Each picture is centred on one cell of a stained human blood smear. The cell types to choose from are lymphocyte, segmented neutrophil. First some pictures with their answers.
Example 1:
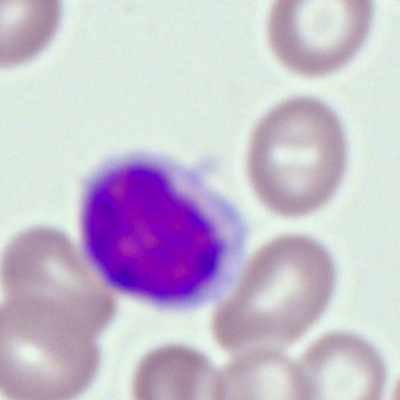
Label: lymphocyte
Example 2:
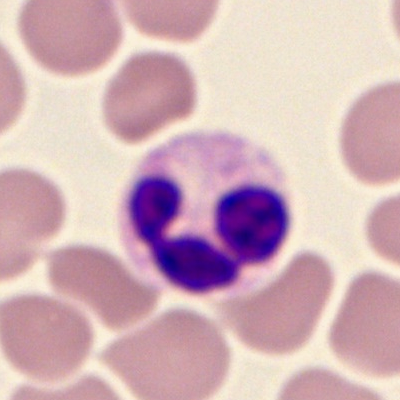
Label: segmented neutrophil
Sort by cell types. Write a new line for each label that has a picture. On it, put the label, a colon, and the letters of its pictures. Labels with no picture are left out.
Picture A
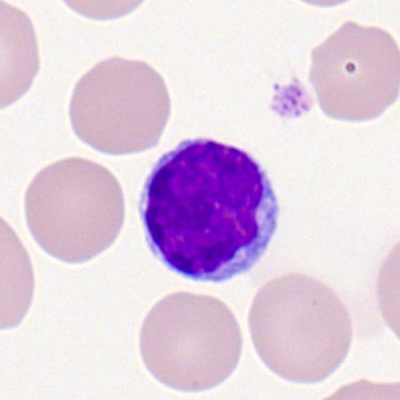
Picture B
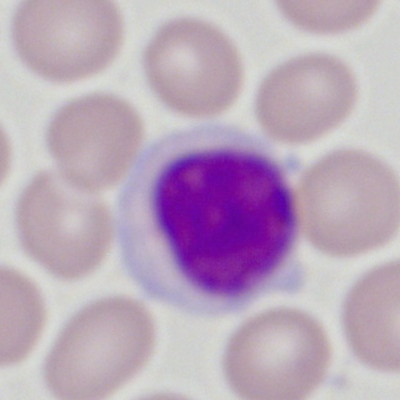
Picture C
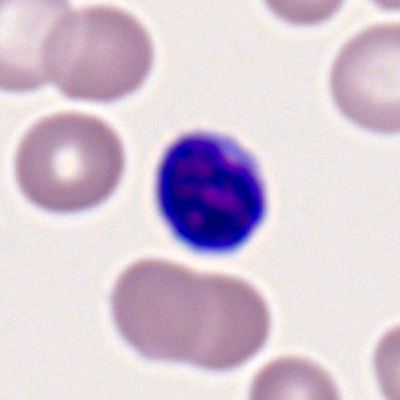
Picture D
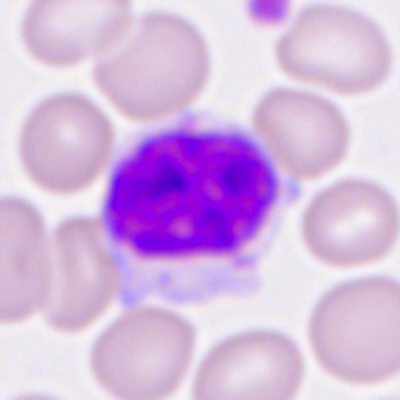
lymphocyte: A, B, C, D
